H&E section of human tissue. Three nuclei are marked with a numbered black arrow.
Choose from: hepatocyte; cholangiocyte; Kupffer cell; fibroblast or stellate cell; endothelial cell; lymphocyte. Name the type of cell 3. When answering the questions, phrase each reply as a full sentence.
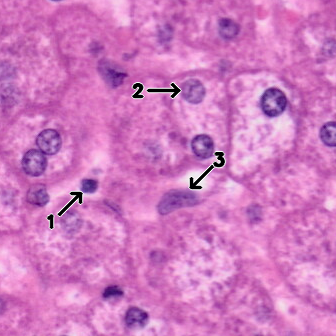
It is as a Kupffer cell that the cell numbered 3 is identified.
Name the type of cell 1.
Number 1 is placed on a lymphocyte here.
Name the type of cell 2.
The identity of cell 2 is that of a hepatocyte.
